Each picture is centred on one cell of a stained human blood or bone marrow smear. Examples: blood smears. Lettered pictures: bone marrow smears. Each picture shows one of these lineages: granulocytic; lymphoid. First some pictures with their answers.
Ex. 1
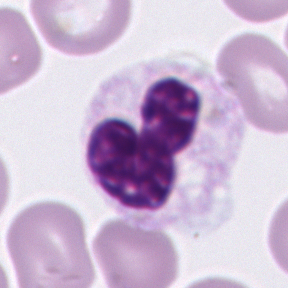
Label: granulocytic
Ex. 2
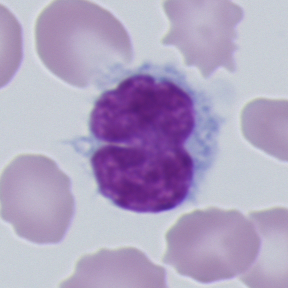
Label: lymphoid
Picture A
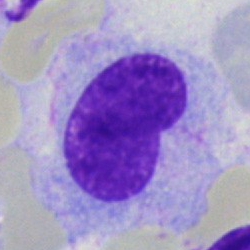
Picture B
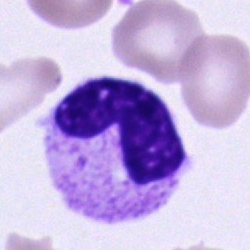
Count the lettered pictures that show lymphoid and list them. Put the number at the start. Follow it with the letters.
1: A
